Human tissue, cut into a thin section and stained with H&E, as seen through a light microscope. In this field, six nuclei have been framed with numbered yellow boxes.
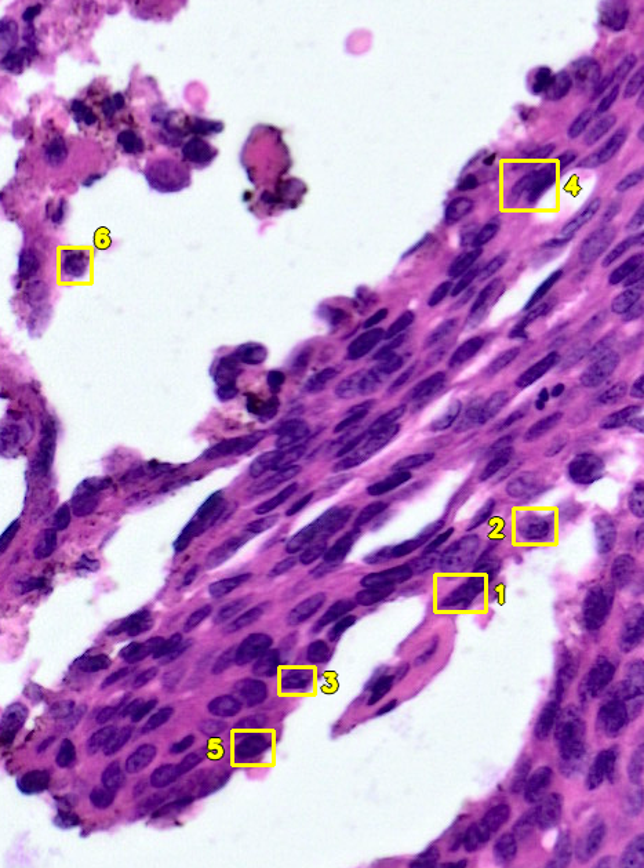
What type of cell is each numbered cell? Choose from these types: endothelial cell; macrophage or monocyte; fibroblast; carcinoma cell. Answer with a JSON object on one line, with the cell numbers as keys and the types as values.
{"1": "carcinoma cell", "2": "macrophage or monocyte", "3": "macrophage or monocyte", "4": "carcinoma cell", "5": "carcinoma cell", "6": "macrophage or monocyte"}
